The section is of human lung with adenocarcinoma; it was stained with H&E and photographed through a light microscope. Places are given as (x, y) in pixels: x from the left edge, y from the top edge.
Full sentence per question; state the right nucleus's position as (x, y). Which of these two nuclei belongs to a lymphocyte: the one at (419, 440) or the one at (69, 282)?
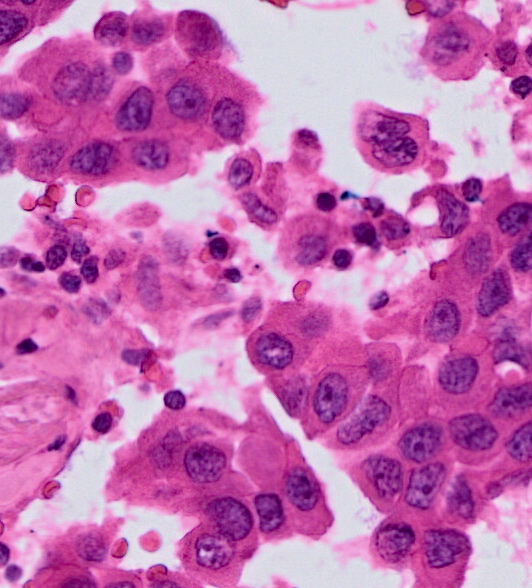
The nucleus at (69, 282) is the one of the two that belongs to a lymphocyte.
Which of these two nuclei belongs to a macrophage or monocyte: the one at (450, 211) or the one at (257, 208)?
Of the two candidate nuclei, the one at (257, 208) is that of a macrophage or monocyte.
